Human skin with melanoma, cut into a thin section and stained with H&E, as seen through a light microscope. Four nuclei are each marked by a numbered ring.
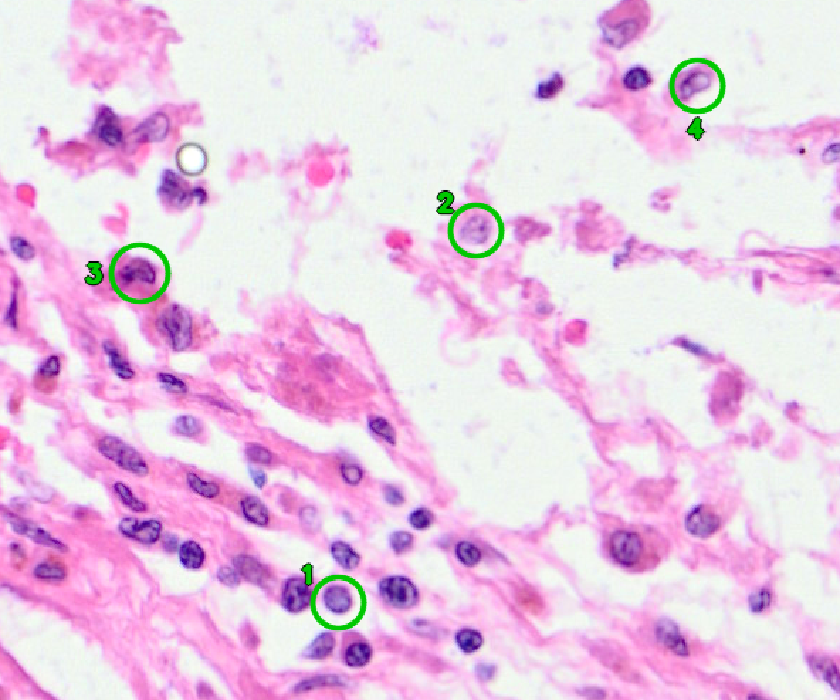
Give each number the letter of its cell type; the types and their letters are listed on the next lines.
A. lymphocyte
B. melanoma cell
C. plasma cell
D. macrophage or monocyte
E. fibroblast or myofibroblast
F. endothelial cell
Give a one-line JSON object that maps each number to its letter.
{"1": "A", "2": "D", "3": "D", "4": "D"}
